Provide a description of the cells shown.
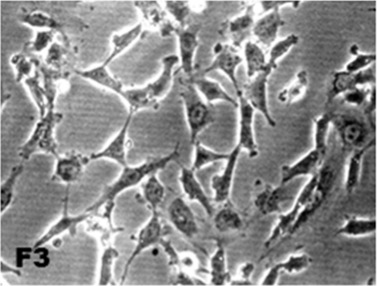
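The cell bodies are irregular, triangular to polygonal, and appear dark against the background. Many show a rounded central nucleus with one or more distinct nucleoli. From each body extend a few short to moderately long processes, some cells bipolar and others with several branches, and neighbouring cells touch through these processes to form an open meshwork. The cells differ somewhat in size and shape across the field.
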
